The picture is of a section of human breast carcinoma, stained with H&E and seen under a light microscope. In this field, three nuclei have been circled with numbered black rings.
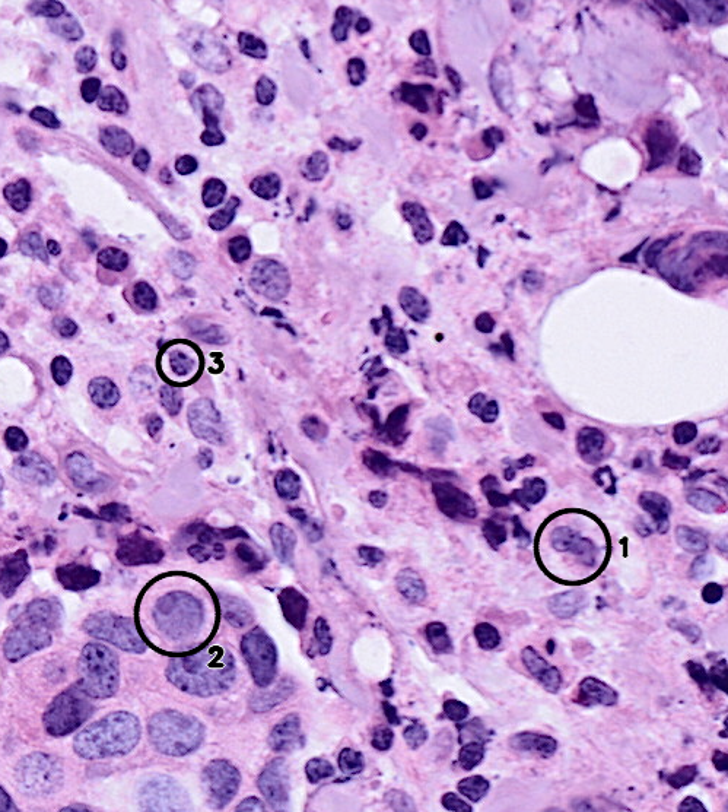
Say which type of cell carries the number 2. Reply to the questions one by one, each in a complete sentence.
Number 2 among the marked cells is a carcinoma cell.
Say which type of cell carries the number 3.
Recognised here as a lymphocyte is the cell numbered 3.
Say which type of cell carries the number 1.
The numbered cell 1 in this field is a macrophage, monocyte or dendritic cell.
